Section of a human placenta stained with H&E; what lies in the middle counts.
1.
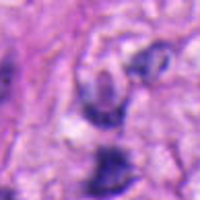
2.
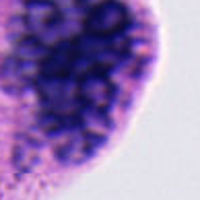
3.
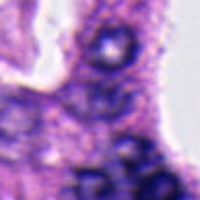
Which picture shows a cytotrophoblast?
Picture 3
